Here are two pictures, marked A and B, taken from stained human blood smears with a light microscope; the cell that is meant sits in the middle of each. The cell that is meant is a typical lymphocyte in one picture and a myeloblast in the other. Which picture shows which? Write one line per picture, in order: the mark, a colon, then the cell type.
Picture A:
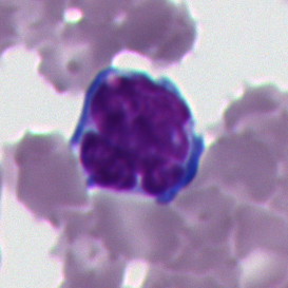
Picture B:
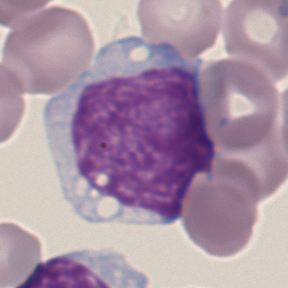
A: typical lymphocyte
B: myeloblast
